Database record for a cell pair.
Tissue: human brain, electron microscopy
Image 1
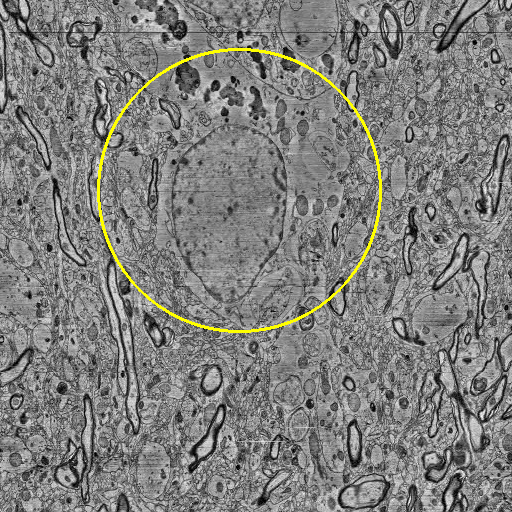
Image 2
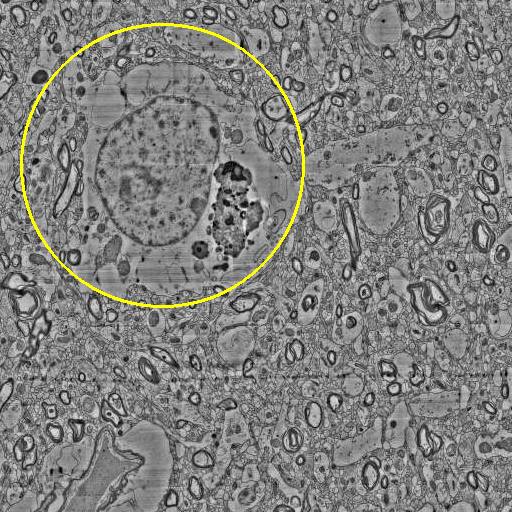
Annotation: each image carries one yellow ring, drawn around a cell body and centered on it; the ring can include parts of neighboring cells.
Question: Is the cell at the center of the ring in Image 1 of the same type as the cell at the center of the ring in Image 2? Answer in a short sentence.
Yes, the cells are of the same type.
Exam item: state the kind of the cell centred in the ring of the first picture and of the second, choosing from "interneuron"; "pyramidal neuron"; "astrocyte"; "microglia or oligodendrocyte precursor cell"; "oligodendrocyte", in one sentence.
The cell at the ring centre is an astrocyte in both pictures.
